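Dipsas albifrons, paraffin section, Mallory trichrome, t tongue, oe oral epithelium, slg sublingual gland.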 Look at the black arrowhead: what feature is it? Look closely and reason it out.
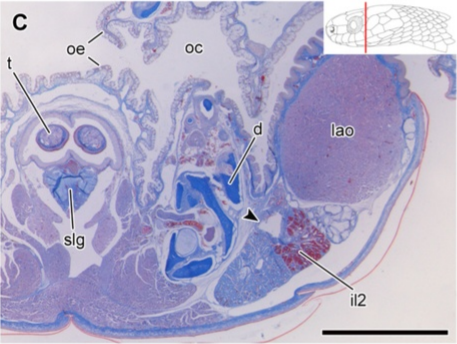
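Large duct. The space lies below the large rounded muscle mass.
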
